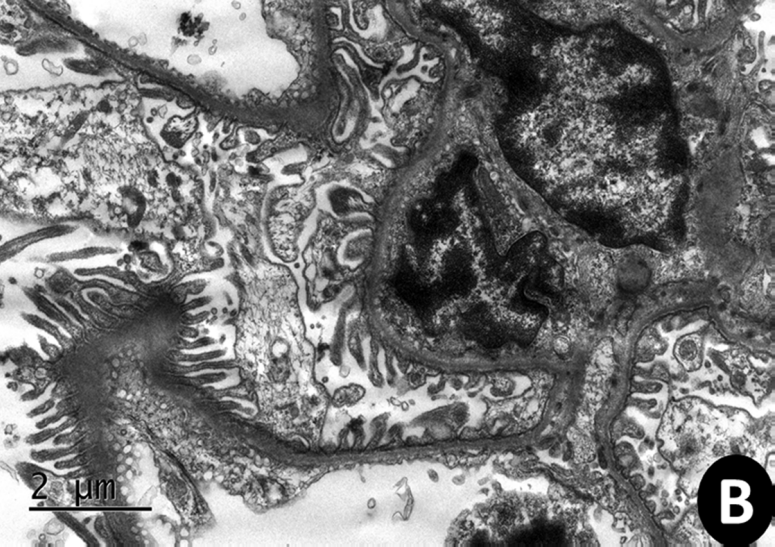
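This is kidney tissue under the electron microscope, with glomerular capillary loops and their basement membranes winding across the right half of the field. Two dark nuclei sit near the centre and upper right, with coarse, clumped chromatin. Slender cell processes line the outer side of the basement membranes. At the lower left, a cell surface carries a dense fringe of long, finger-like projections. The space between the structures contains loose, flocculent material and scattered small membrane profiles.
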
